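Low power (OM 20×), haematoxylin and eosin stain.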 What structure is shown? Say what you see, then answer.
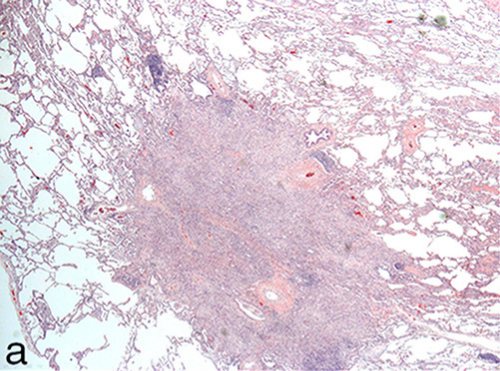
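Lung nodule. A dense, cellular, purple-staining mass sits in the middle of the field. Thin-walled air spaces of lung tissue surround the mass.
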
